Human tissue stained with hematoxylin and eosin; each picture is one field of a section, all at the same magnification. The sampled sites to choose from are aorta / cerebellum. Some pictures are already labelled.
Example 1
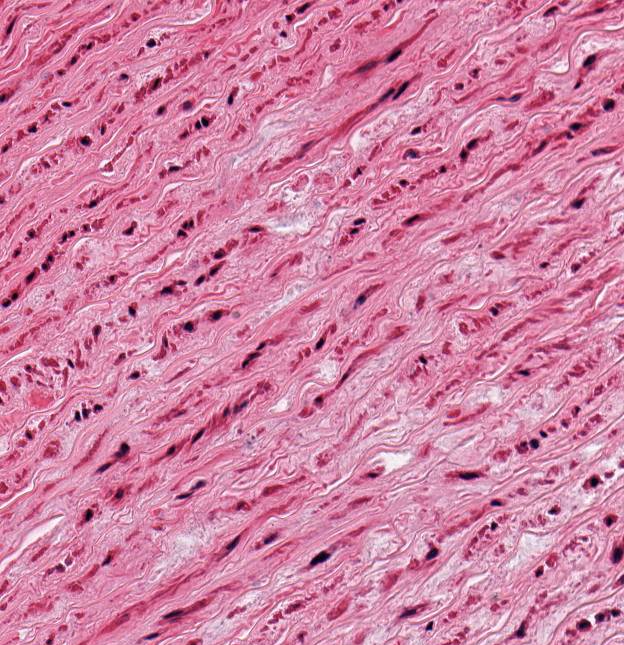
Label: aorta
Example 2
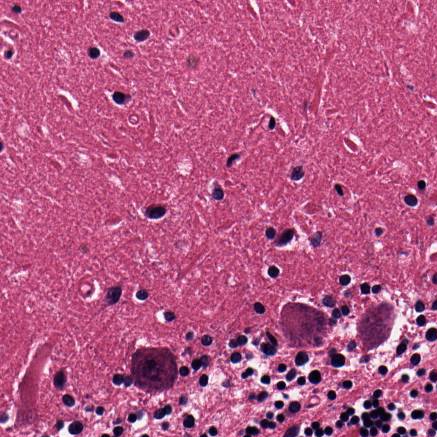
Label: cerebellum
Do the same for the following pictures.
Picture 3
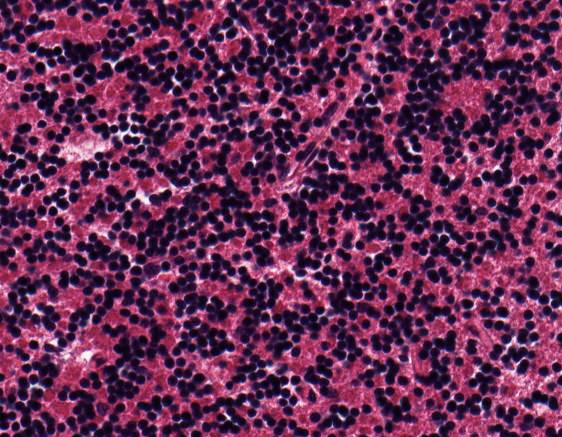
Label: cerebellum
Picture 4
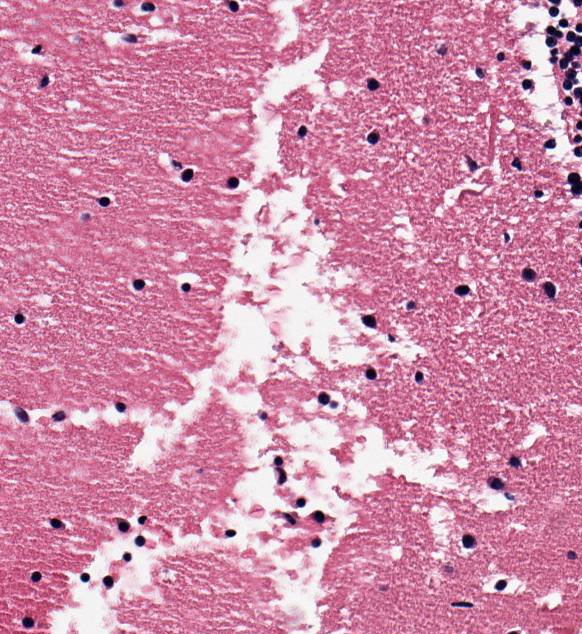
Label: cerebellum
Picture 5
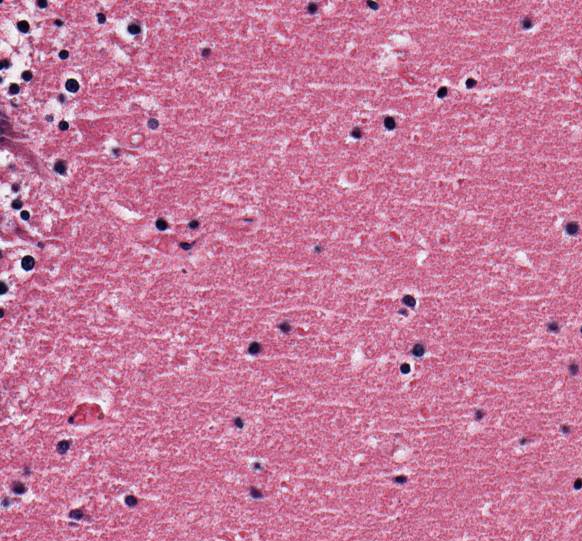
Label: cerebellum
